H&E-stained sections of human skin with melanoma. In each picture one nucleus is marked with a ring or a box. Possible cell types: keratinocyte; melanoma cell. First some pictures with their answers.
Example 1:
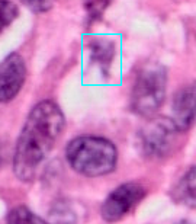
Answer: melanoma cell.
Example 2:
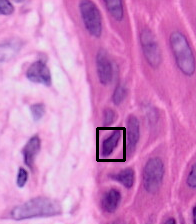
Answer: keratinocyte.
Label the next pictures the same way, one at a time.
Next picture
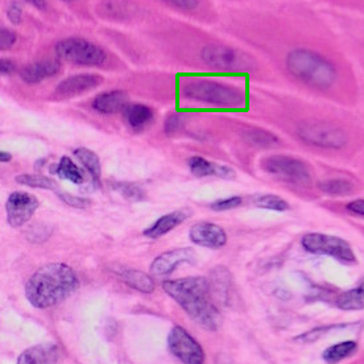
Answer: keratinocyte.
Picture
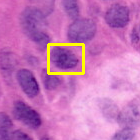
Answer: keratinocyte.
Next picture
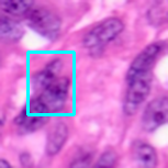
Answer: melanoma cell.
